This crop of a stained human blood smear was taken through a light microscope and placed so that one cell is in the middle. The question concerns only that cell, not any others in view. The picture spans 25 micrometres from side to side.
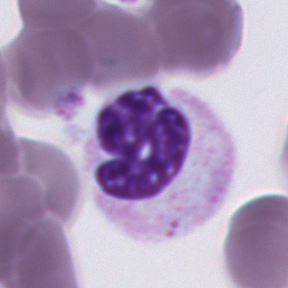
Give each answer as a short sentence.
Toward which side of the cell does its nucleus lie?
The nucleus lies toward the upper left of the cell.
